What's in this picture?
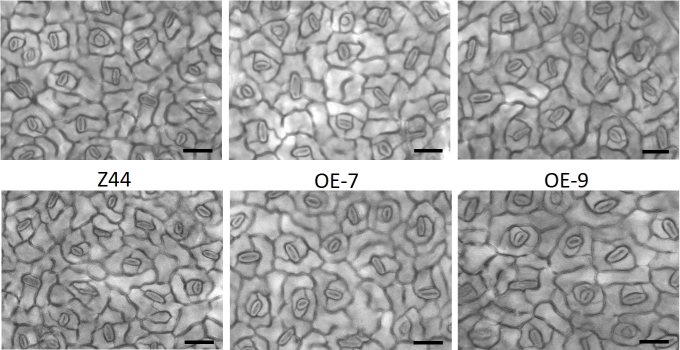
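This is a surface view of a leaf epidermis, a single layer of pavement cells with stomata scattered among them. The pavement cells are irregular polygons of varying size, fitted together without gaps and bounded by dark, slightly wavy walls. Between them lie many stomata, each an oval pair of curved guard cells enclosing a narrow elongated pore. The stomata are spread fairly evenly across the surface and are not clustered together.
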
